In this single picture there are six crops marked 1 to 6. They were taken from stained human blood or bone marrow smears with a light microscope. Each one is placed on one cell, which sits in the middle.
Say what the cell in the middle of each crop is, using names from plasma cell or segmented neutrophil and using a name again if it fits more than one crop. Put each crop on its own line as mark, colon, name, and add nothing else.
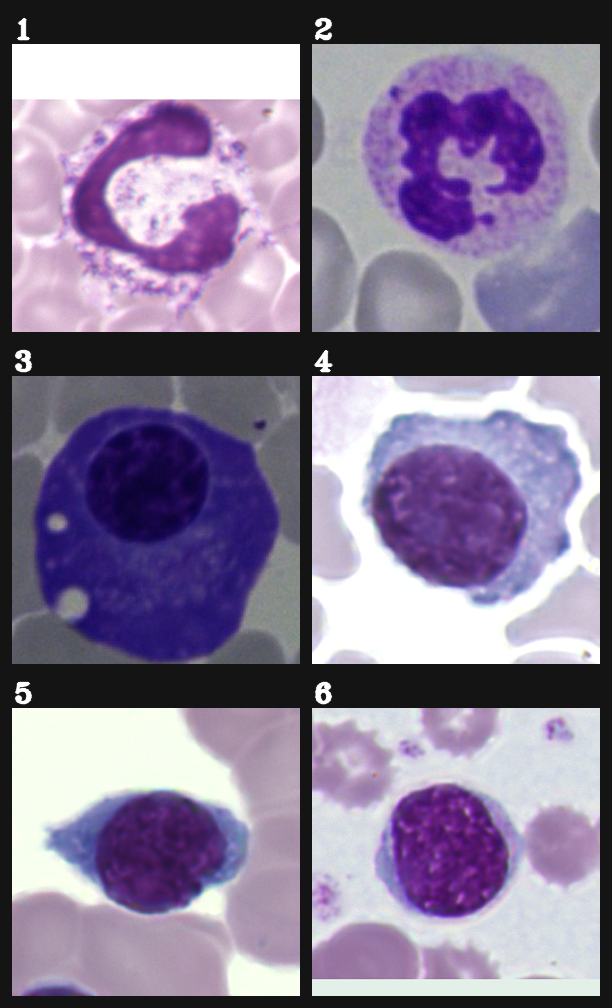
1: segmented neutrophil
2: segmented neutrophil
3: plasma cell
4: plasma cell
5: plasma cell
6: plasma cell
